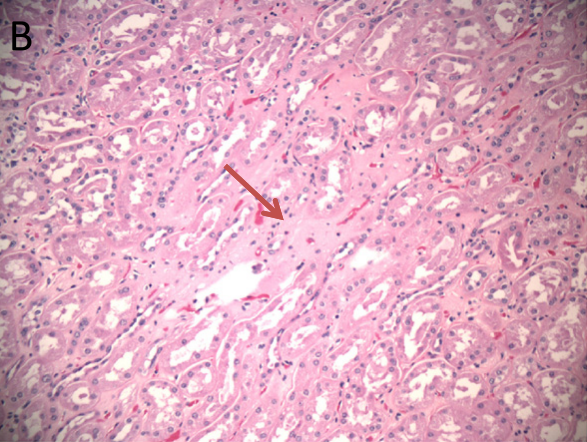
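Kidney tissue with many closely packed tubules cut in cross and oblique section, each lined by cuboidal epithelium with round nuclei and pink cytoplasm around clear lumens. Between the tubules, in a band running through the centre, lies pale pink, homogeneous, cell-poor material that separates and spreads the tubules apart. Sparse elongated nuclei sit within this material, and small vessels with red blood cells appear as thin red streaks among the tubules.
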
